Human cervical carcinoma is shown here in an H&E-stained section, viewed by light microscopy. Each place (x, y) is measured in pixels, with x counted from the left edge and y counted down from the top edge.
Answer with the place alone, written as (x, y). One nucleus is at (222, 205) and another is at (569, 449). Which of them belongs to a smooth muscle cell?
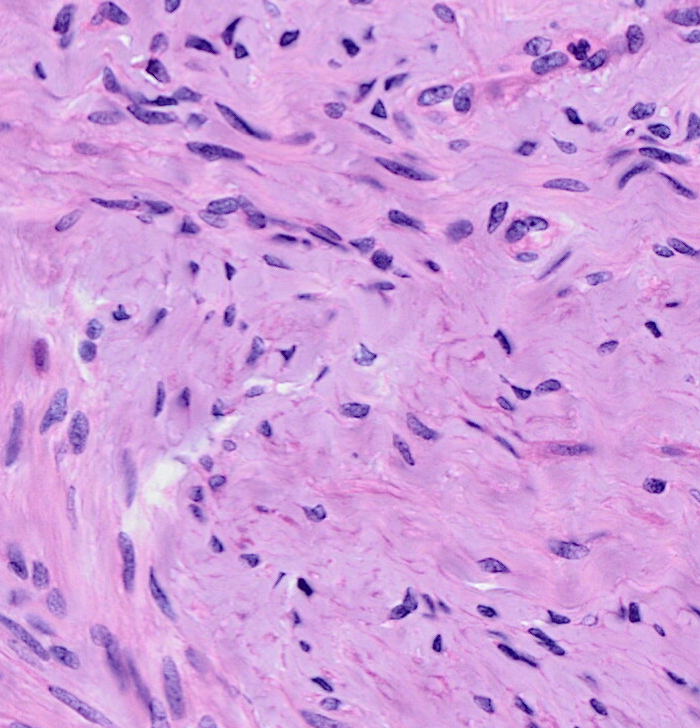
(569, 449)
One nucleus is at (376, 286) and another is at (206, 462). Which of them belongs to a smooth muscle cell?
(206, 462)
